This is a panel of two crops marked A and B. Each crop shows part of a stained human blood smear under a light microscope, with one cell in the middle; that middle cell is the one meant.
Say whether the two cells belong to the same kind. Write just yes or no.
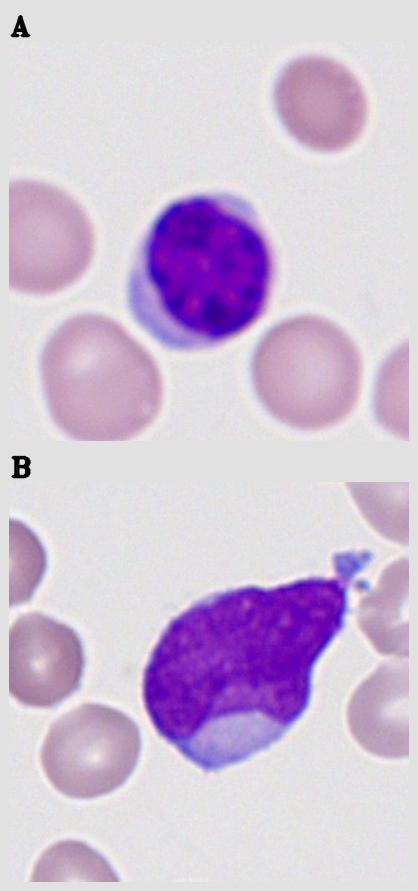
no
